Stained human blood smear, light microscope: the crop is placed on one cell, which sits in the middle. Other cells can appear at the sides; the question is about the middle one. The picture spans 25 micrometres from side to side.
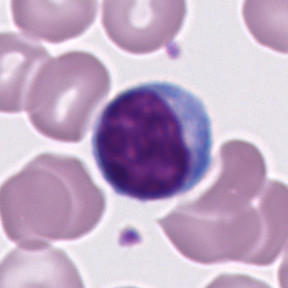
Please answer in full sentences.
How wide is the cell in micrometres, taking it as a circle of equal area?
The diameter of the cell comes to about 11 micrometres.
